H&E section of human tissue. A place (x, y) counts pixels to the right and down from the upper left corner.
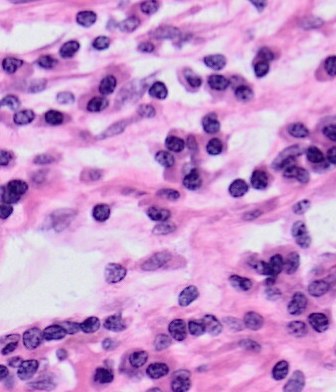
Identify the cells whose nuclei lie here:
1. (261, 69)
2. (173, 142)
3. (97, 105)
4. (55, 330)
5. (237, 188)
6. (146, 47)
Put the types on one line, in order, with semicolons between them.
plasma cell; plasma cell; plasma cell; lymphocyte; lymphocyte; plasma cell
